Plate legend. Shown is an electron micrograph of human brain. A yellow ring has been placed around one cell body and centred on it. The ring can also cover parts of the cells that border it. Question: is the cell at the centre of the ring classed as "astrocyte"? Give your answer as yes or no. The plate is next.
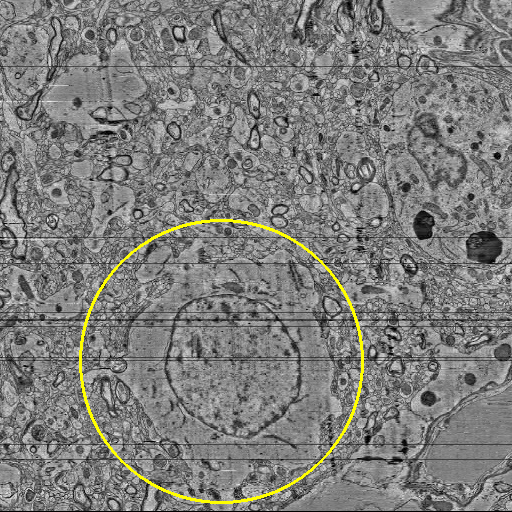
Yes, the ringed cell is of that kind.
